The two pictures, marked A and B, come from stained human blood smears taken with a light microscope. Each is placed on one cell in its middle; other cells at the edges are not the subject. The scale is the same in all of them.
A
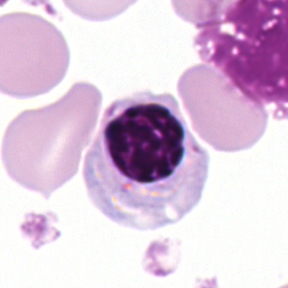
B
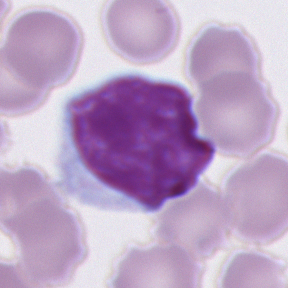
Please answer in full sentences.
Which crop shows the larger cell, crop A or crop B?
Larger is the cell in crop B, at roughly 1.5 times the area of the other.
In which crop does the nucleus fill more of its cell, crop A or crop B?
In crop B the nucleus takes up the larger part of its cell.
